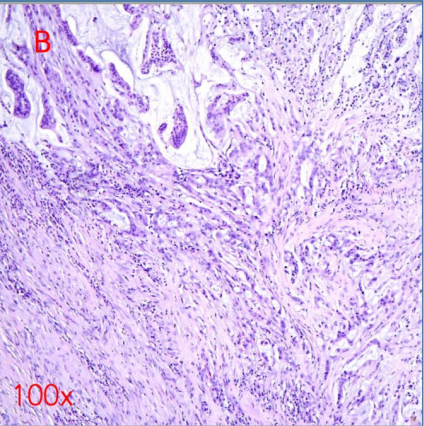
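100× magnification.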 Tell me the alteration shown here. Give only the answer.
Invasive carcinoma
